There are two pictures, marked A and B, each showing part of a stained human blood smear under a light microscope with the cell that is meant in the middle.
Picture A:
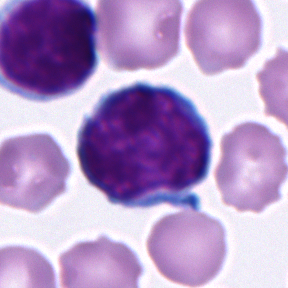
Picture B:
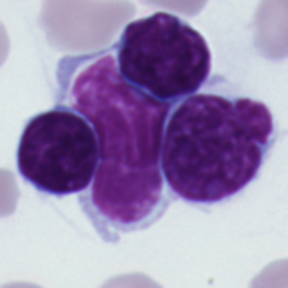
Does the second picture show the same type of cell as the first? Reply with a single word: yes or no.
no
